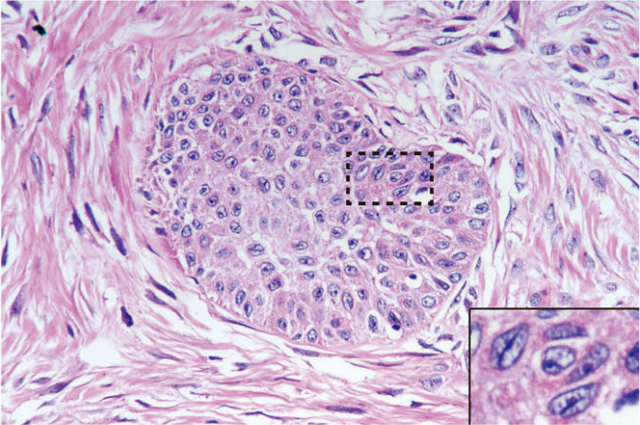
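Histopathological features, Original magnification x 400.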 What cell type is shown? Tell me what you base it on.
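Cells have oval bland nuclei and pale pink to clear cytoplasm. Cells are arranged in a cohesive sheet resembling transitional epithelium.
Urothelium-like cells.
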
